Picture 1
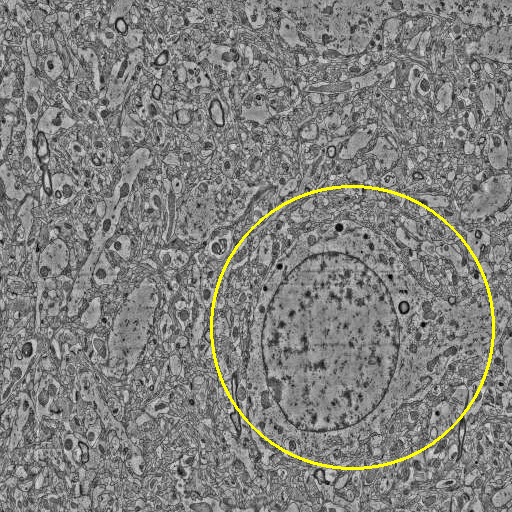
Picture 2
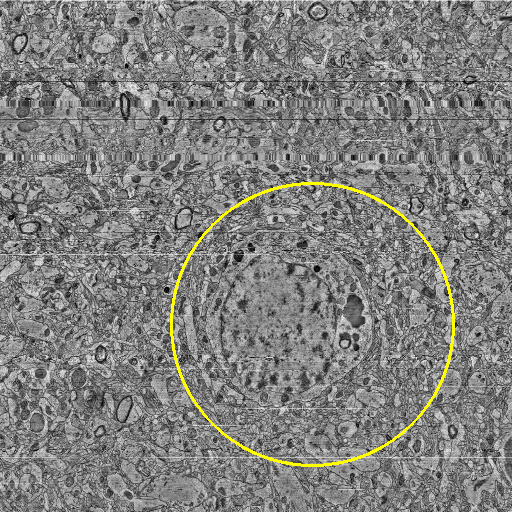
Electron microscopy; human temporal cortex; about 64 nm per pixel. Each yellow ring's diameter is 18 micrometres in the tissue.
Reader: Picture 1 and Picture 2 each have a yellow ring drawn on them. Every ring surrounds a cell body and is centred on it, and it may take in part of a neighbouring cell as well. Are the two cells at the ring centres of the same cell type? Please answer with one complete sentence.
No, the cells are of two cell types.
